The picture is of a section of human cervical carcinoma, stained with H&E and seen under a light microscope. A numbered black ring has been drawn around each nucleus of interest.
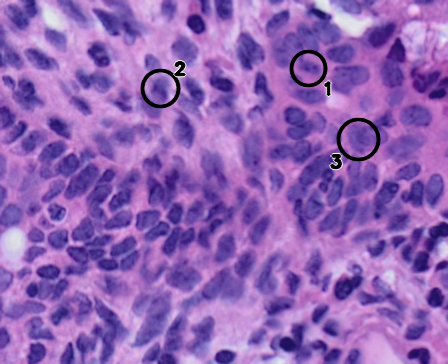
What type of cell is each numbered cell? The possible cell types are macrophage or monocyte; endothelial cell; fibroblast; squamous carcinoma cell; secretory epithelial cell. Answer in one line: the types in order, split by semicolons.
secretory epithelial cell; fibroblast; secretory epithelial cell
